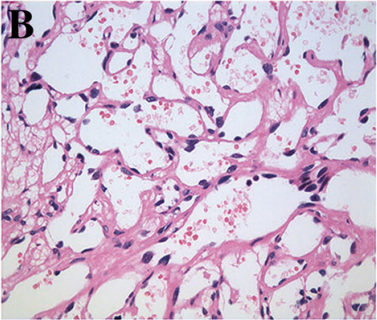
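This high-power view shows a vascular tumor made of thin-walled, interconnecting channels lined by endothelial cells. The lining cells have dark, elongated to plump nuclei that sit along slender pink septa, some appearing somewhat enlarged and hyperchromatic.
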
